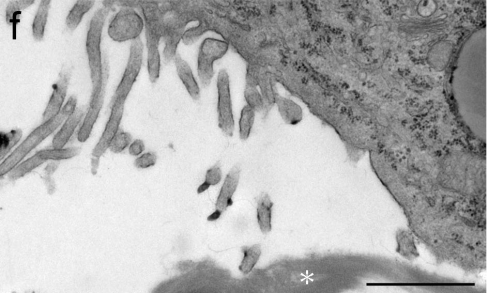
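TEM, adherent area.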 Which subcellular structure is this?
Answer: Microvilli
